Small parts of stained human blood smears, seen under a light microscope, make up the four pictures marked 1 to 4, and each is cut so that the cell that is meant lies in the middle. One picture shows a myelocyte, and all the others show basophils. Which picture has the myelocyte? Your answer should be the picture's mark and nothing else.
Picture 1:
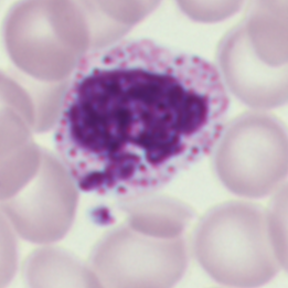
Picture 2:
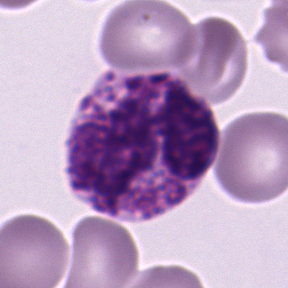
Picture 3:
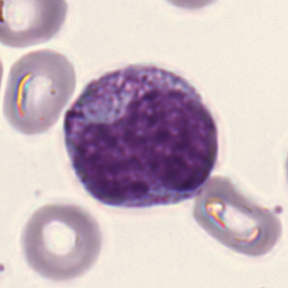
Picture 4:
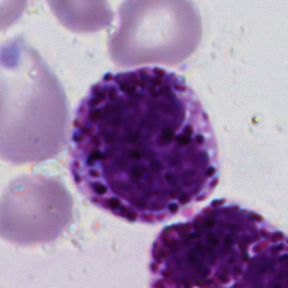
3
